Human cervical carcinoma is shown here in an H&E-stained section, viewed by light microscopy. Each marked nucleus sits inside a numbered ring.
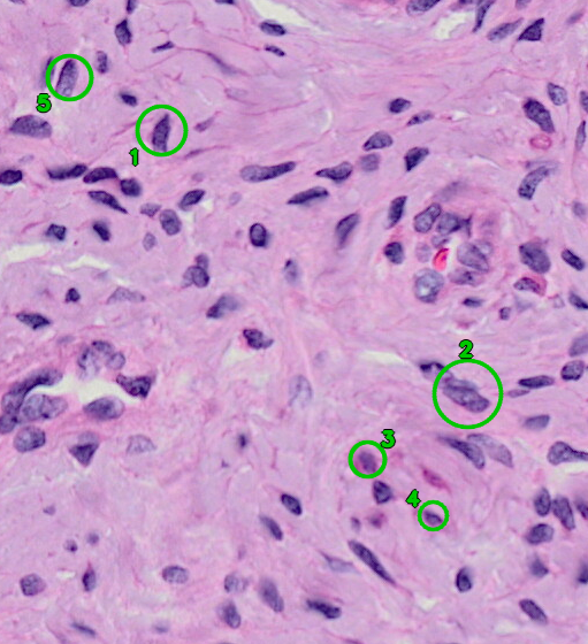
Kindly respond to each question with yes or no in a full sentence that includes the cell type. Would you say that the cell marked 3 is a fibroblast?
No, number 3 is assigned to a smooth muscle cell, not to a fibroblast.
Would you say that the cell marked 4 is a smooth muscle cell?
Yes, the cell numbered 4 in this tissue is a smooth muscle cell.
